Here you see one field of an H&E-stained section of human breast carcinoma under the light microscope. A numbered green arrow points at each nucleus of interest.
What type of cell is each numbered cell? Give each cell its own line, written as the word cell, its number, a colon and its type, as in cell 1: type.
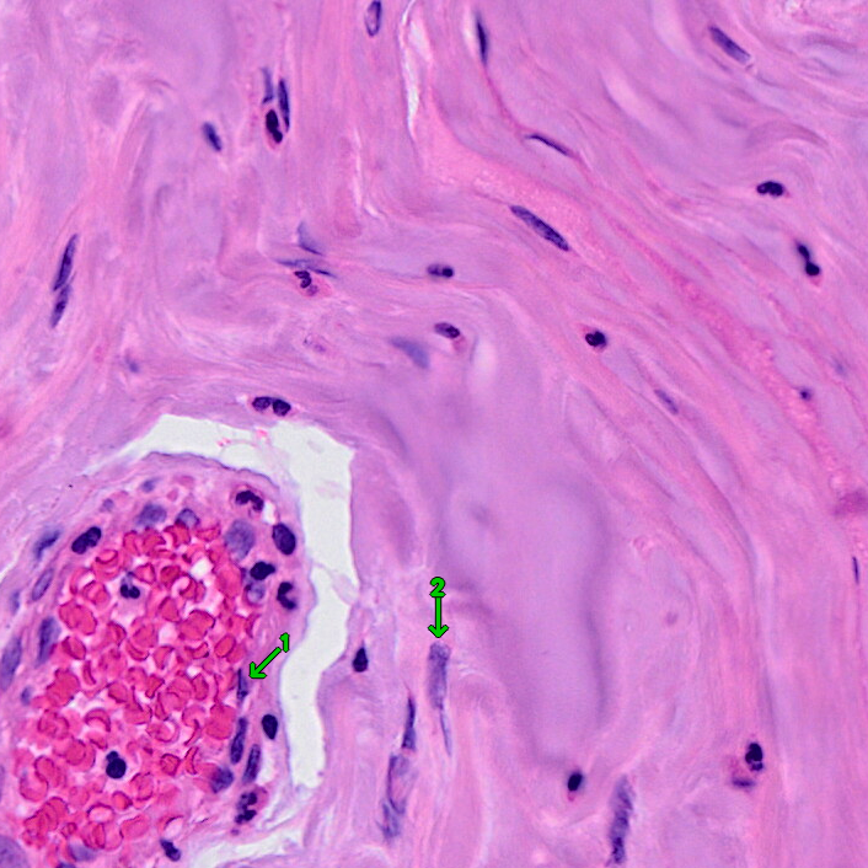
cell 1: endothelial cell
cell 2: fibroblast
